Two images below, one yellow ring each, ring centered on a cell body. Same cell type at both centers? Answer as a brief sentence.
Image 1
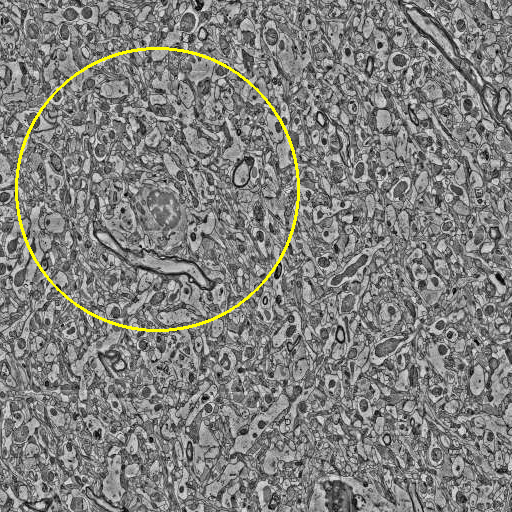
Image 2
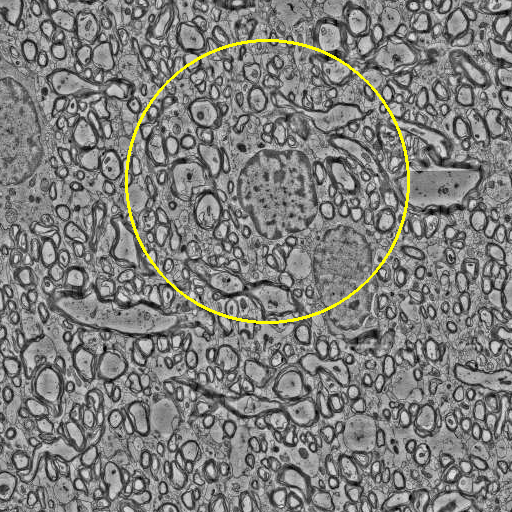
No, the cells are of two separate types.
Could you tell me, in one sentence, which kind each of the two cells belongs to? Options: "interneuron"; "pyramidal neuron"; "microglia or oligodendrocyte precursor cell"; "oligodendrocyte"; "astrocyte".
At the centre of the first ring sits an oligodendrocyte, and at the centre of the second sits a microglial cell or oligodendrocyte precursor cell.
